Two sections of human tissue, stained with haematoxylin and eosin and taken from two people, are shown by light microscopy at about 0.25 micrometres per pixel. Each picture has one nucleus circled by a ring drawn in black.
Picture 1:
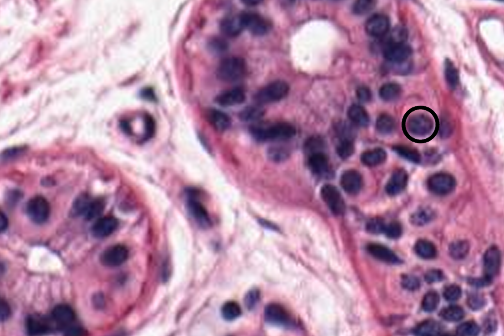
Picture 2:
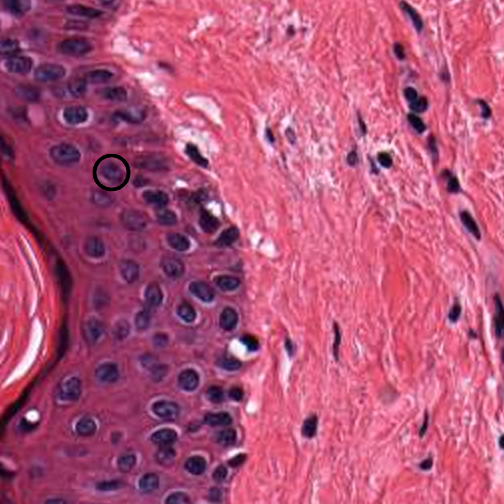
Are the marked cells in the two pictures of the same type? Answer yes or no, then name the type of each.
No, the first is a sweat gland cell and the second a keratinocyte.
